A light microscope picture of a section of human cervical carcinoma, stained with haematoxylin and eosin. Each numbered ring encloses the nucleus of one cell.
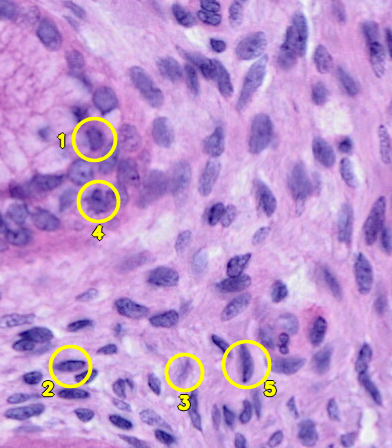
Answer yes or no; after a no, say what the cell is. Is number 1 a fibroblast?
No, it is a secretory epithelial cell.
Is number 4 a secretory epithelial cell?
Yes.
